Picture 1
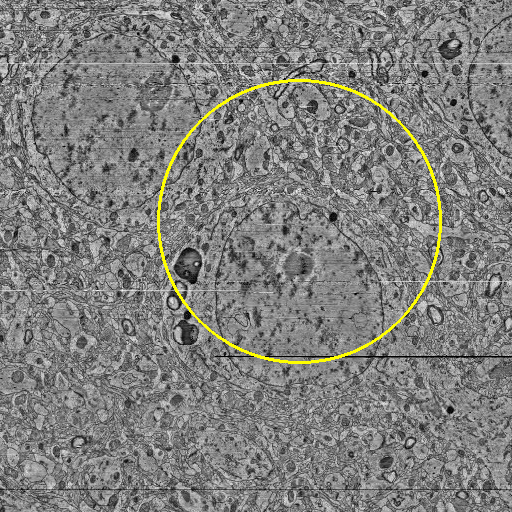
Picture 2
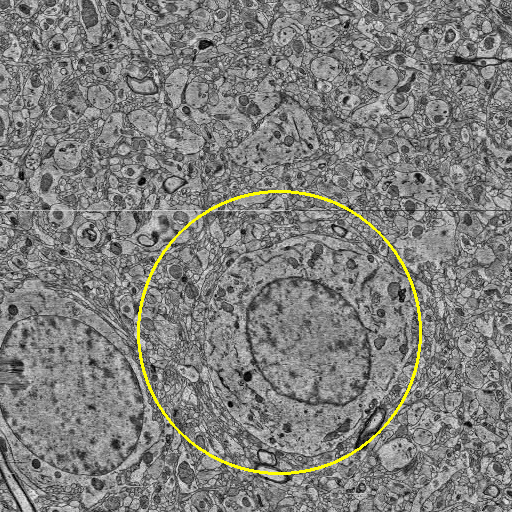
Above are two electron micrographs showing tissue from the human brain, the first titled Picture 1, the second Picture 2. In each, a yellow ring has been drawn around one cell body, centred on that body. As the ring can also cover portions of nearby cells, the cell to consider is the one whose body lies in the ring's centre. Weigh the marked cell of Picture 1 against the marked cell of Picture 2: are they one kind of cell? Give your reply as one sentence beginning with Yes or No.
Yes, the two cells sitting at the ring centres in the pictures are of one kind.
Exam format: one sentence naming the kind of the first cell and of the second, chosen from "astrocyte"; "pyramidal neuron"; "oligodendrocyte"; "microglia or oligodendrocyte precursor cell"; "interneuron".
Each of the two rings surrounds a pyramidal neuron.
